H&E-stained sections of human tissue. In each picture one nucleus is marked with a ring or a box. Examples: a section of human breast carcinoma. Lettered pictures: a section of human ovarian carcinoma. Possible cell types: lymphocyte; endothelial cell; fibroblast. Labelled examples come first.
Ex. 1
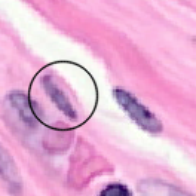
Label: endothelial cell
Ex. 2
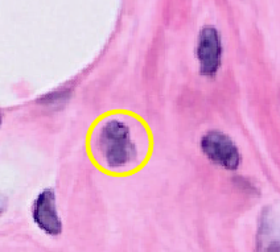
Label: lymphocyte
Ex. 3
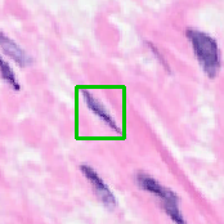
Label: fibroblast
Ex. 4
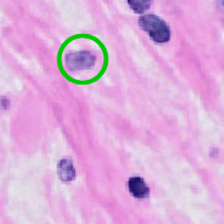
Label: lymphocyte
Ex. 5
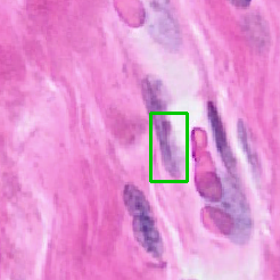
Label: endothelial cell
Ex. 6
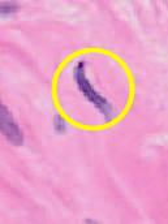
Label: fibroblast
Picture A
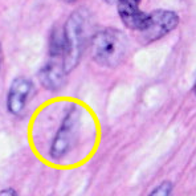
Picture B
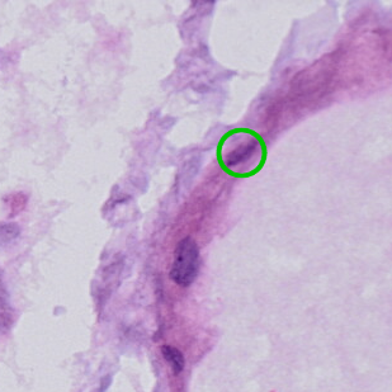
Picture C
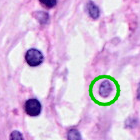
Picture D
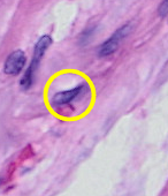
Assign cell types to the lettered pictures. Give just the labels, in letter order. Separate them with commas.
fibroblast, endothelial cell, lymphocyte, endothelial cell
